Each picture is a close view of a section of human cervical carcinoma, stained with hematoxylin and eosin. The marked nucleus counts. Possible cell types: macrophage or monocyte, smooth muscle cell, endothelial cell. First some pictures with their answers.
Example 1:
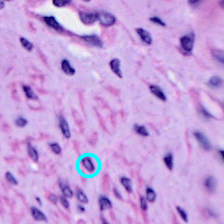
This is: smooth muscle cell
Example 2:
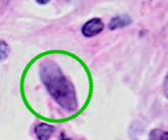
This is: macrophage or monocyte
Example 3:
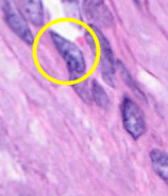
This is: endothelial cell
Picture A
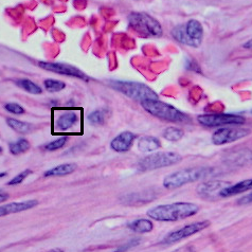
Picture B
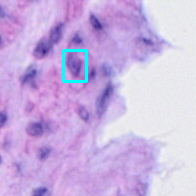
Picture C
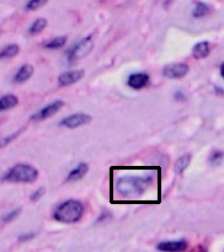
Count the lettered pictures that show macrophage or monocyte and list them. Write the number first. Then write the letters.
0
